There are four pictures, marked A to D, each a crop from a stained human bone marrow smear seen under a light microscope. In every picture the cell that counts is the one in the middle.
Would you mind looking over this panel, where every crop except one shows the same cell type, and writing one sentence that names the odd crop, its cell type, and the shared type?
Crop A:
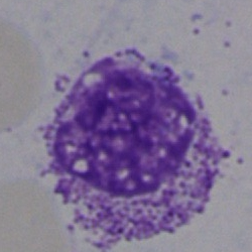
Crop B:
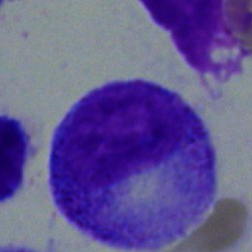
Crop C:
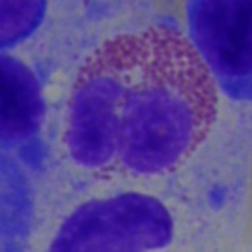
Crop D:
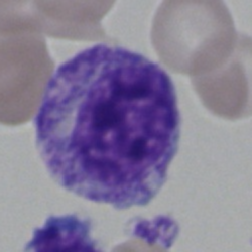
All crops show myelocytes except crop C, which is an eosinophil.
